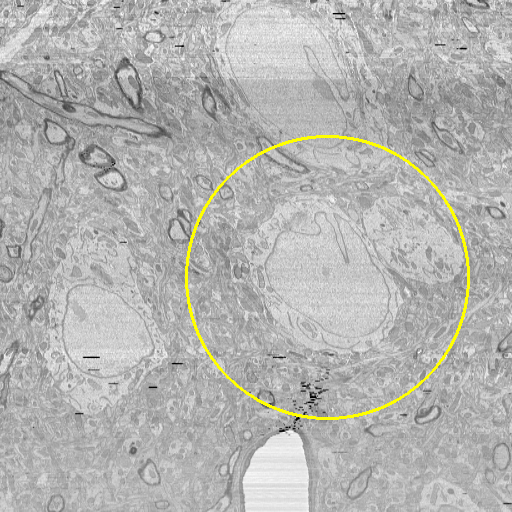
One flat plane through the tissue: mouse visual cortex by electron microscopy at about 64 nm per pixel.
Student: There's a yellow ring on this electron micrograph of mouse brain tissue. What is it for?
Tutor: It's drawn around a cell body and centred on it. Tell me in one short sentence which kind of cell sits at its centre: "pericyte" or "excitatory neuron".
The cell at the centre of the ring is an excitatory neuron.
